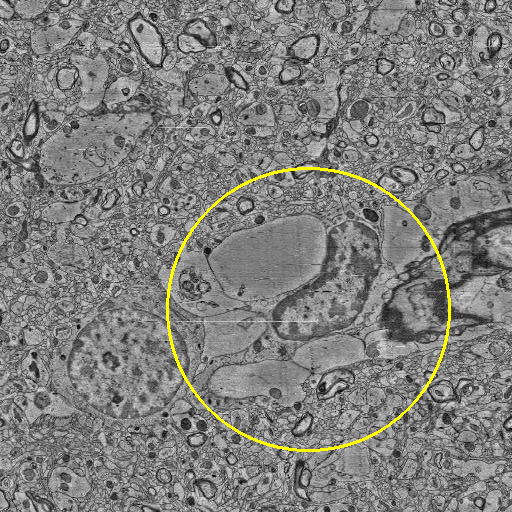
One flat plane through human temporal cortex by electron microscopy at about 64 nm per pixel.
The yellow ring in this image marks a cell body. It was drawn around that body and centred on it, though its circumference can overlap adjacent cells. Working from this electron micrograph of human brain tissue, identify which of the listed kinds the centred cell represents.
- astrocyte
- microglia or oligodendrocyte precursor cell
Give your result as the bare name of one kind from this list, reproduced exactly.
microglia or oligodendrocyte precursor cell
